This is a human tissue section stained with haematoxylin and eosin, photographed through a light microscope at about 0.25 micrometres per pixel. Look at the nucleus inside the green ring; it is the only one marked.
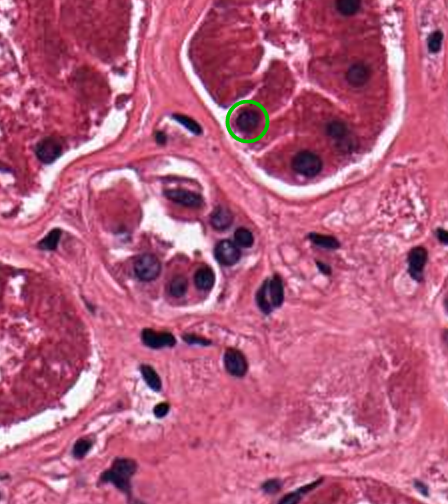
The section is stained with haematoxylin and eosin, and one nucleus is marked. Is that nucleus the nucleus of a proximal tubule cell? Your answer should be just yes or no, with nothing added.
yes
